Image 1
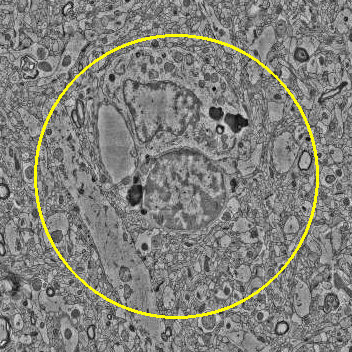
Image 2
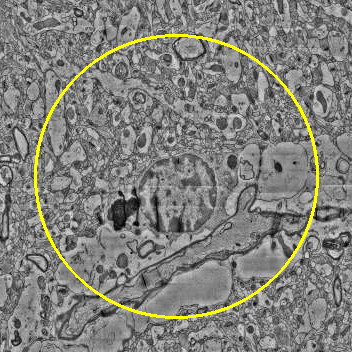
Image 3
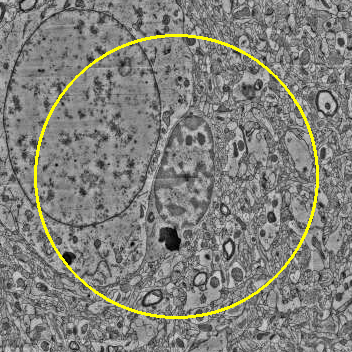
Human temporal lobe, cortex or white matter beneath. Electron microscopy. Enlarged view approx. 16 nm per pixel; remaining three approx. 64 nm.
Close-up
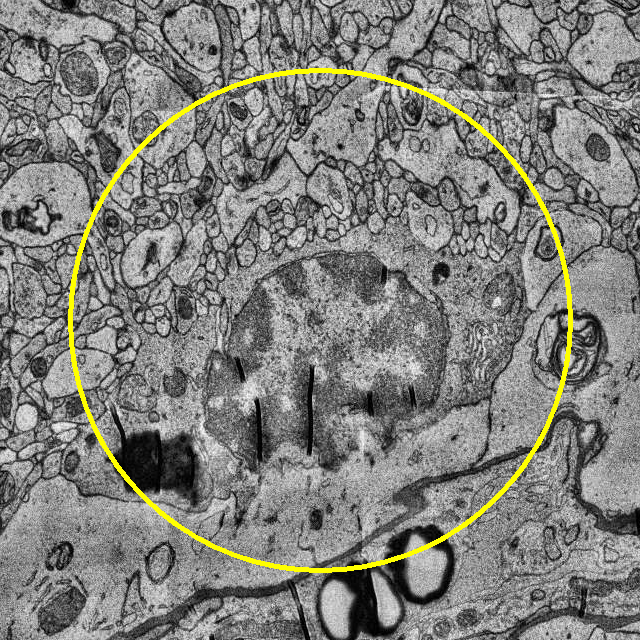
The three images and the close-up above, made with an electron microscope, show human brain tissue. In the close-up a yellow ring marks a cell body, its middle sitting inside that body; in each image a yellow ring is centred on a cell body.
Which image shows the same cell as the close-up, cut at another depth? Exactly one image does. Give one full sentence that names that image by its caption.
The cell visible in the close-up is the one ringed in Image 2.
